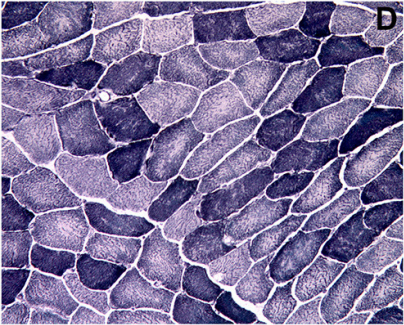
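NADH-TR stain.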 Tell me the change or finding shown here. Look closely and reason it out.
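Some fibers are paler in their centre than at their rim. Dark and pale fibers are intermingled.
Slightly “core-like” reduction of central oxidative enzyme activity.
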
